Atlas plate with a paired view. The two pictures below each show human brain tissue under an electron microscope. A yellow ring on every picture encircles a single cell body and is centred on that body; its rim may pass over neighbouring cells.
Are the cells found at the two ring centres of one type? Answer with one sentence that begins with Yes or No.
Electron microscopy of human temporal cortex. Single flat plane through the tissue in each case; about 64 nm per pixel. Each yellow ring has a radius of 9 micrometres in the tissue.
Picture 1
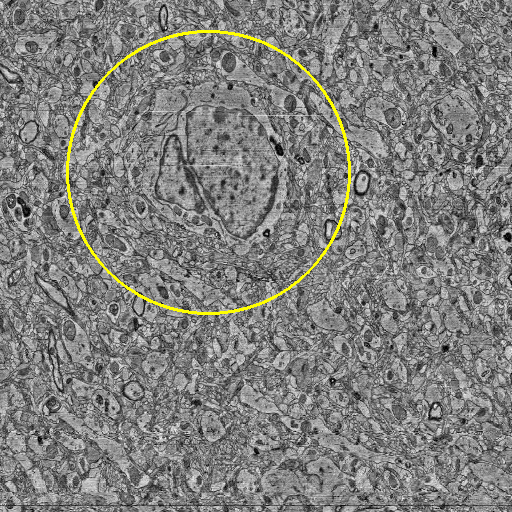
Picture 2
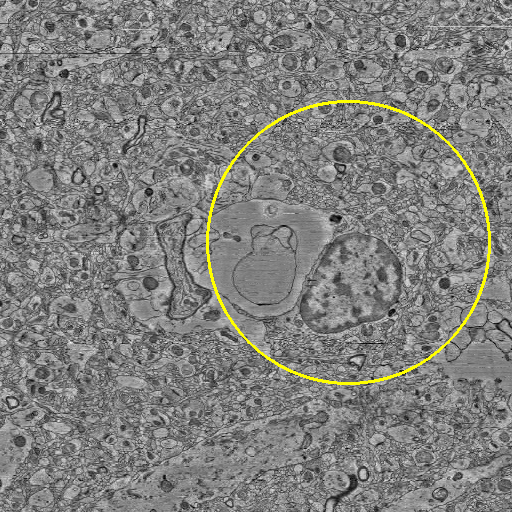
Yes, the two cells lying at the centres of the rings share a single type.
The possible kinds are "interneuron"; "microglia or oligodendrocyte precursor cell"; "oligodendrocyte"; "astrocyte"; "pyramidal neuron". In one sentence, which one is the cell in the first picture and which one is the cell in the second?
Both cells are the same kind, each one being a microglial cell or oligodendrocyte precursor cell.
